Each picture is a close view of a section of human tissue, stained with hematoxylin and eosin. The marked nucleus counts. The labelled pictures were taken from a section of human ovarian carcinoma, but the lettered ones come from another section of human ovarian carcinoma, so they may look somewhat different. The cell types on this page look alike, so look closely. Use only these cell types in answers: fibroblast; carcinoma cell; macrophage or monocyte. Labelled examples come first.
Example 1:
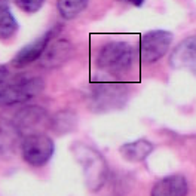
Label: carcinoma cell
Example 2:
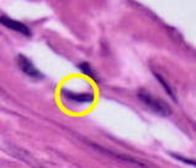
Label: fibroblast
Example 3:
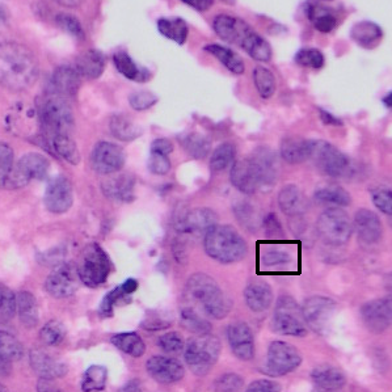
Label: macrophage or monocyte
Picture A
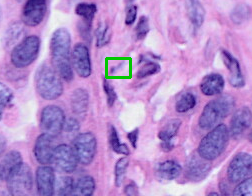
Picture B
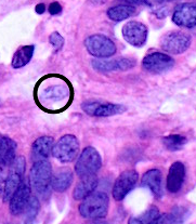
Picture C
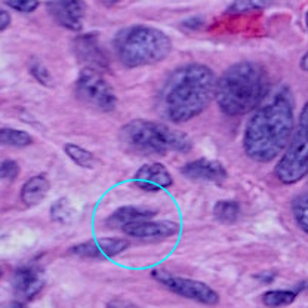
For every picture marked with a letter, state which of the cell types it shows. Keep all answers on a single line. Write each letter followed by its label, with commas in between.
A fibroblast, B fibroblast, C fibroblast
